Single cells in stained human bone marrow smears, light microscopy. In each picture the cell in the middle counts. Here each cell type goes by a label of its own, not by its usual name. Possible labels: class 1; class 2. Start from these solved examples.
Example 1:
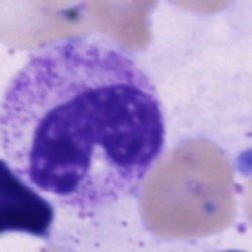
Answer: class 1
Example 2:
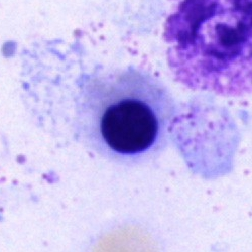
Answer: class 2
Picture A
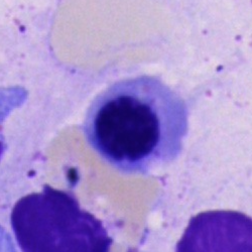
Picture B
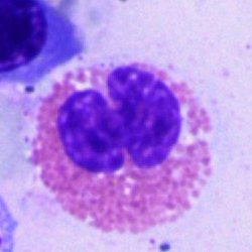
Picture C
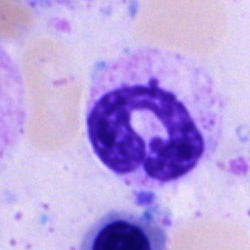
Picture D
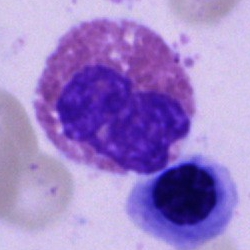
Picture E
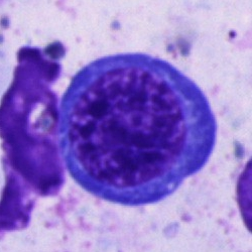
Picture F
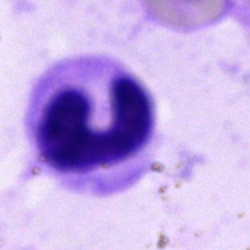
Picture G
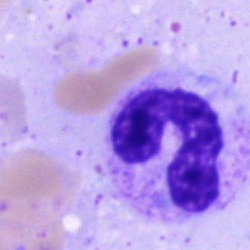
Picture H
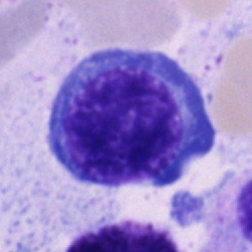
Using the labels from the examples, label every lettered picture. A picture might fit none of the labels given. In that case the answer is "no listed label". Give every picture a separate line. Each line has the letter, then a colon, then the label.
A: class 2
B: no listed label
C: class 1
D: no listed label
E: class 2
F: class 1
G: class 1
H: class 2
